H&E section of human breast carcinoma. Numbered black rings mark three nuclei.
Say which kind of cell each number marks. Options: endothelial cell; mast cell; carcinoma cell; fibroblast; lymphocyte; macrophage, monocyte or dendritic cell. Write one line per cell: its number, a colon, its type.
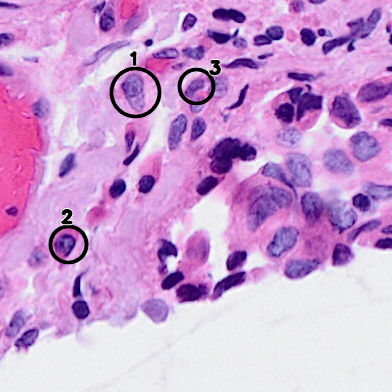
1: endothelial cell
2: mast cell
3: endothelial cell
